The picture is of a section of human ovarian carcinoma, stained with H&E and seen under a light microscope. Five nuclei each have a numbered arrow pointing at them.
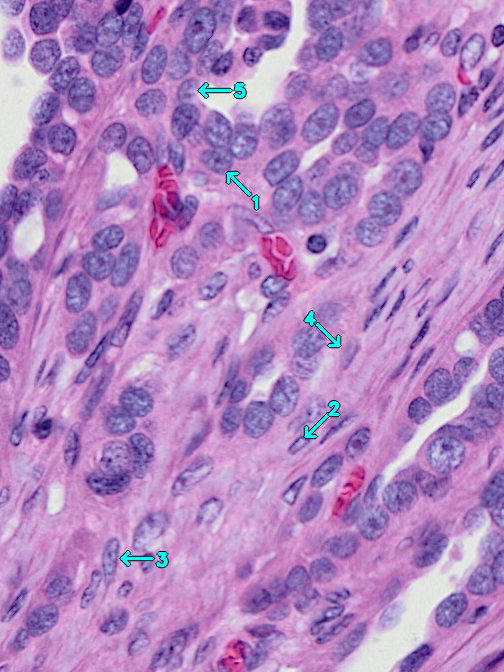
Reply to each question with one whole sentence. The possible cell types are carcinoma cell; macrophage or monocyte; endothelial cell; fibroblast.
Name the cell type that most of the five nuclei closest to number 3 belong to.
Around number 3, most of the five nearest nuclei are those of macrophages or monocytes.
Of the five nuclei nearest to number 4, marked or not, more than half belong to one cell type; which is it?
Around number 4, most of the five nearest nuclei are those of fibroblasts.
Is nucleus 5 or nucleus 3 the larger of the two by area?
The larger nucleus is 3, at roughly 1.5 times the area of 5.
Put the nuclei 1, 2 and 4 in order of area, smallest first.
By area, going up from the smallest, they rank 2, 4, 1.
